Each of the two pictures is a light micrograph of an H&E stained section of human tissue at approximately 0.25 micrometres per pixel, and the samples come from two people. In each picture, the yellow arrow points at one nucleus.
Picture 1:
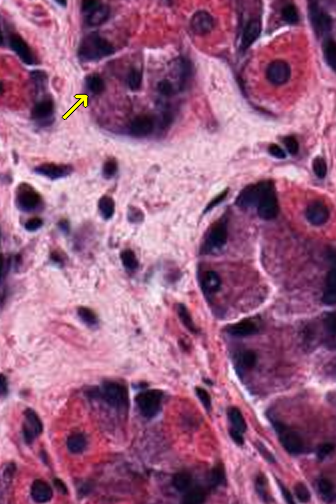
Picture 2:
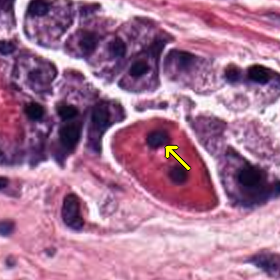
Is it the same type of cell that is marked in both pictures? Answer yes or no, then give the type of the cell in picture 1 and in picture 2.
No, the first is a chief cell and the second a parietal cell.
